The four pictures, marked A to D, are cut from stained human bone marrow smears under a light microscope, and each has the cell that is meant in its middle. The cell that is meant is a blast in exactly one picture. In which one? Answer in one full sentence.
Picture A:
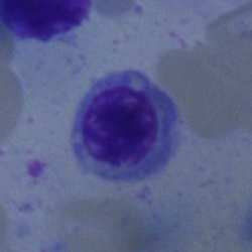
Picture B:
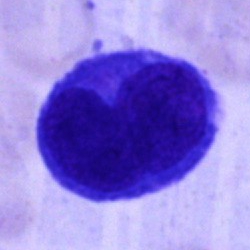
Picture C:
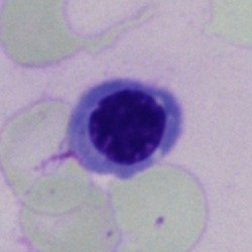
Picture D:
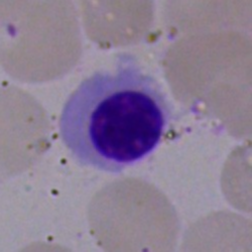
The cell in picture B is the blast.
